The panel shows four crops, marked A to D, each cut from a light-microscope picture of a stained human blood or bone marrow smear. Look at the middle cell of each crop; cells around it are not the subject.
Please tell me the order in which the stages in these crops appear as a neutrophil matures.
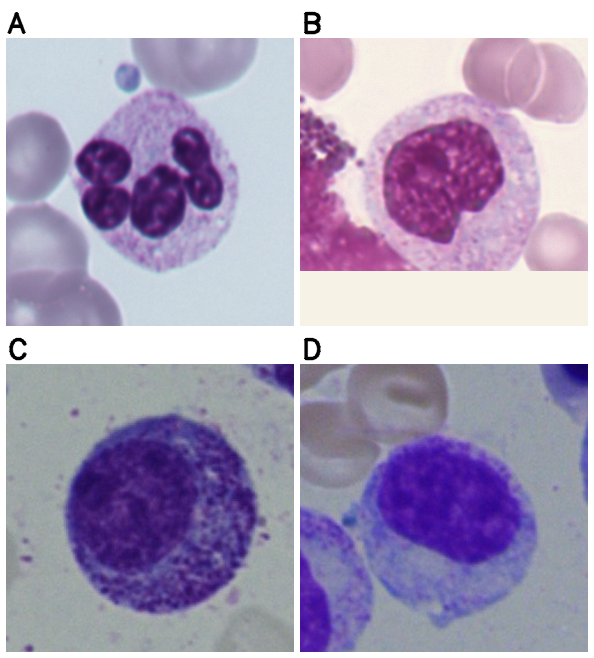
C, D, B, A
